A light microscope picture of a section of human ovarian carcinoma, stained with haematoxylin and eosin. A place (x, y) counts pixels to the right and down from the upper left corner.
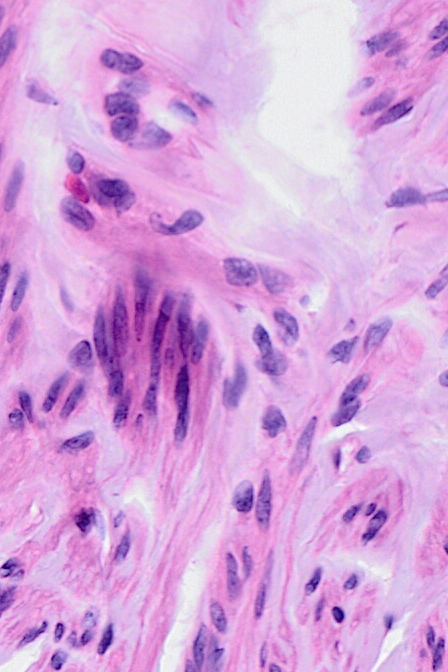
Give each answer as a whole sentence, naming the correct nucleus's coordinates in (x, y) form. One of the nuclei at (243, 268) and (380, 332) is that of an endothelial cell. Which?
The nucleus at (243, 268) is identified as belonging to an endothelial cell.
